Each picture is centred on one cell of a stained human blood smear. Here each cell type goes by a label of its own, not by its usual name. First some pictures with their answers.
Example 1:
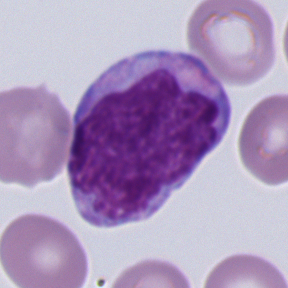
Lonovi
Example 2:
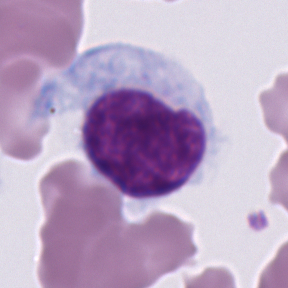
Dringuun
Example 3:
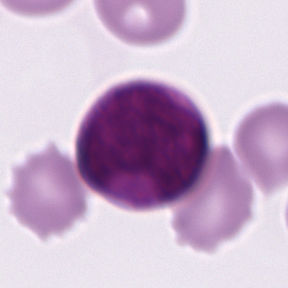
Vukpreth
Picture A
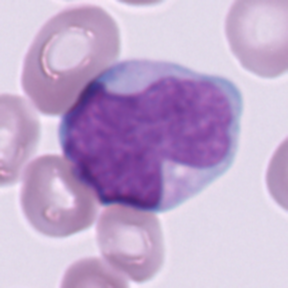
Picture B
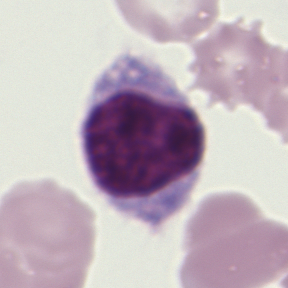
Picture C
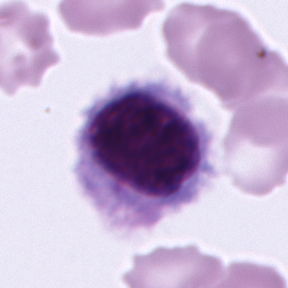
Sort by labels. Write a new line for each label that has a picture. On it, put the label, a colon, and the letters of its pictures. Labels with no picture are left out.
Lonovi: A
Dringuun: B, C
